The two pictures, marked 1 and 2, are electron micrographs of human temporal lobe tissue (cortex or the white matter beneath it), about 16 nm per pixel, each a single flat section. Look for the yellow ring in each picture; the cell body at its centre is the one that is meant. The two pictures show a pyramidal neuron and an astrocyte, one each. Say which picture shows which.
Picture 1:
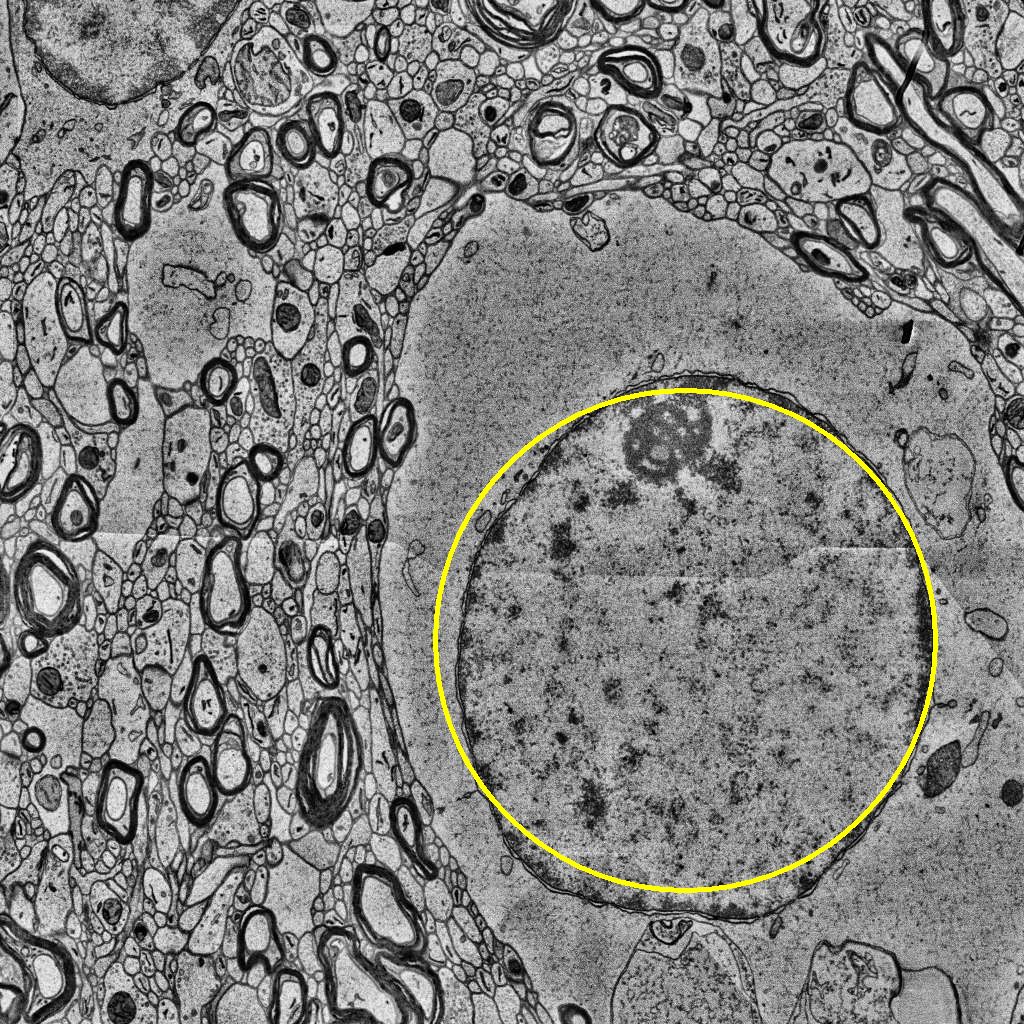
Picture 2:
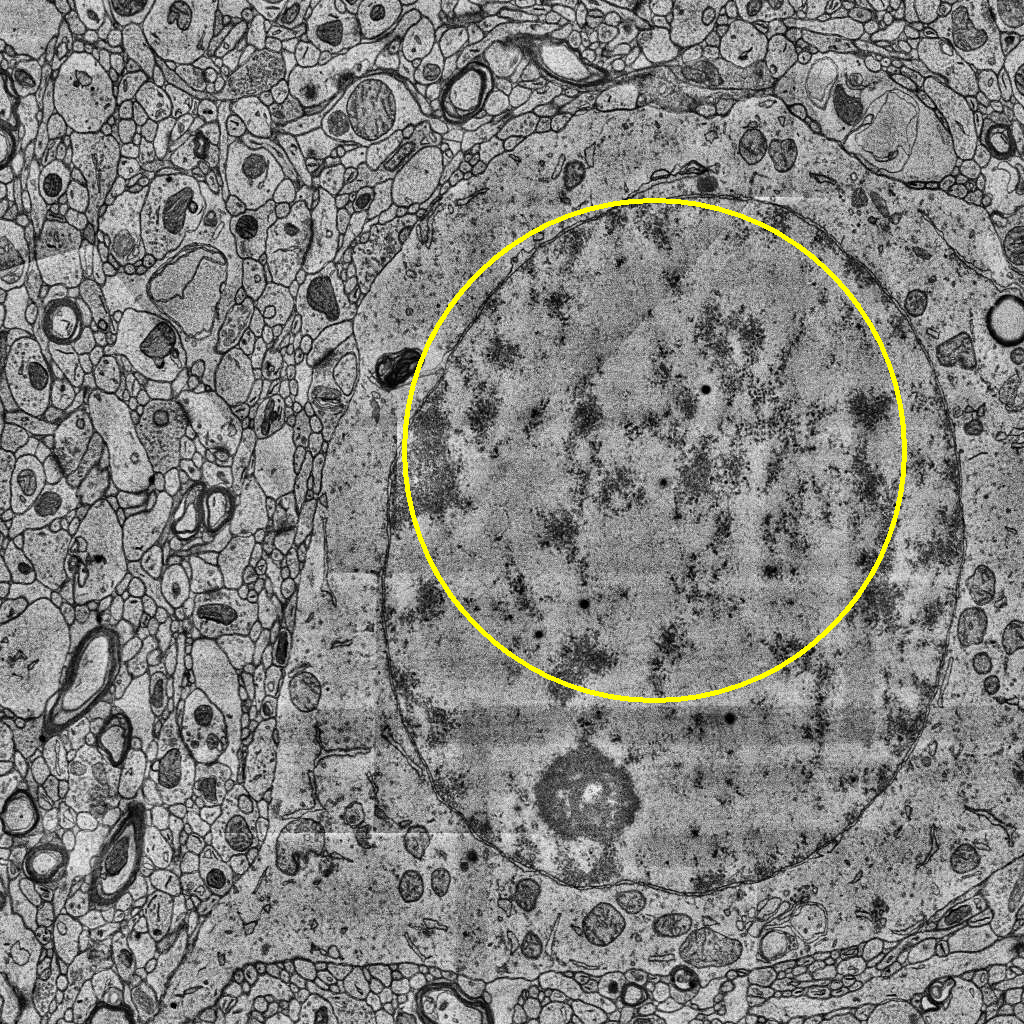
The cell in picture 1 is an astrocyte, and the one in picture 2 is a pyramidal neuron.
